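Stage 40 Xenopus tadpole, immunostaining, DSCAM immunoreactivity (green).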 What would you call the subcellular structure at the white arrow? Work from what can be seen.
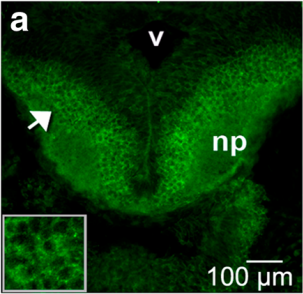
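Cell bodies. The arrow points into a zone of tightly packed rounded profiles. The inset shows polygonal outlines surrounding dark cell centres.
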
